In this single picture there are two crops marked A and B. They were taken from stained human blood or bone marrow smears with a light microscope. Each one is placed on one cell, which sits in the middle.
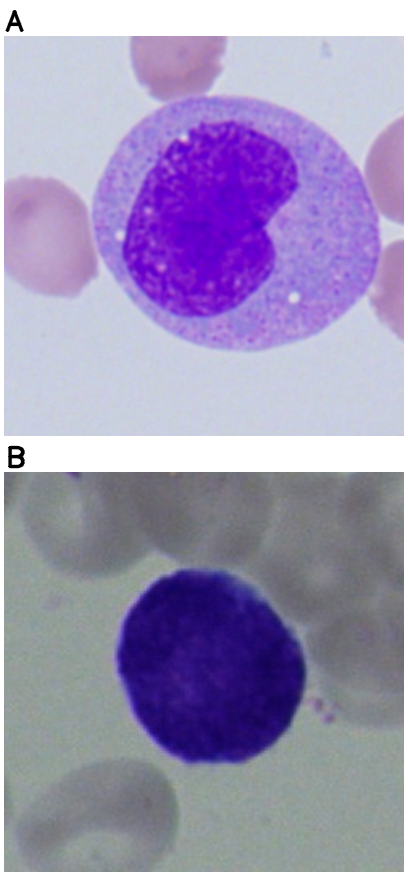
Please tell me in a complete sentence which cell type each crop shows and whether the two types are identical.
No, crop B centres on a blast, and crop A centres on a monocyte.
